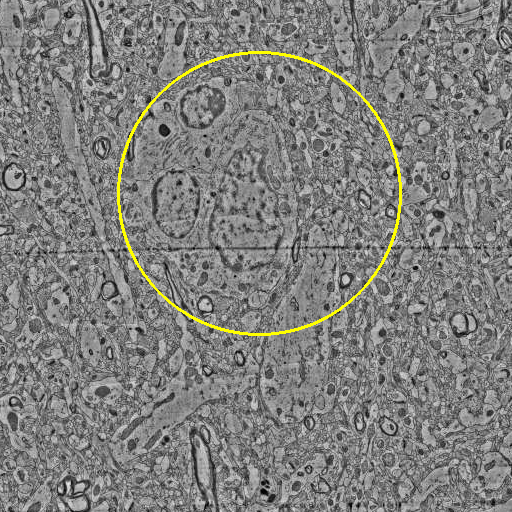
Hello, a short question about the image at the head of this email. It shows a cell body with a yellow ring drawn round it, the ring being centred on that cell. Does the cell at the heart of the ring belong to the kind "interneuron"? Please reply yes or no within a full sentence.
Yes, the cell at the heart of the ring in that image is of that kind.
